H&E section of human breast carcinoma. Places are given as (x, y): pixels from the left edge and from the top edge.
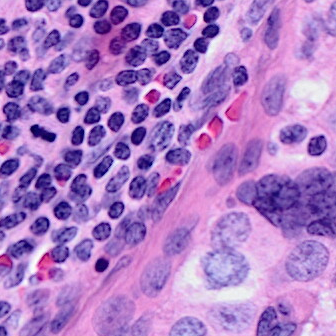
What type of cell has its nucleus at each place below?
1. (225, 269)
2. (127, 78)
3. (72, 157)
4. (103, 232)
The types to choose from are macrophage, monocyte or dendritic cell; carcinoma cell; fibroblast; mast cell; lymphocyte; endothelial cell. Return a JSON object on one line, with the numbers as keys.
{"1": "carcinoma cell", "2": "lymphocyte", "3": "lymphocyte", "4": "lymphocyte"}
